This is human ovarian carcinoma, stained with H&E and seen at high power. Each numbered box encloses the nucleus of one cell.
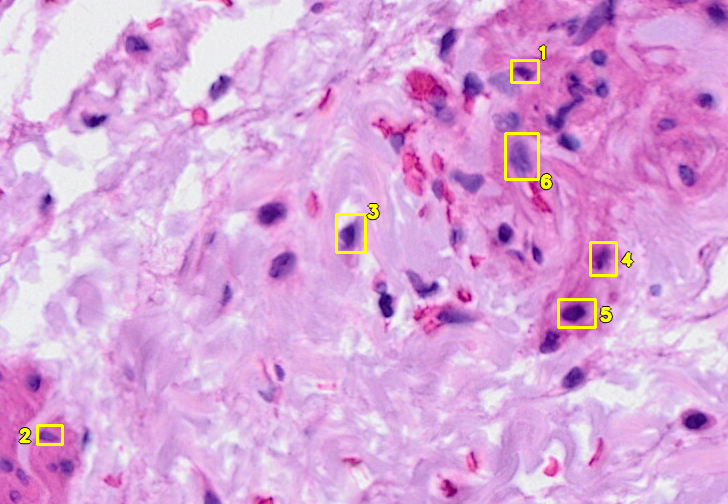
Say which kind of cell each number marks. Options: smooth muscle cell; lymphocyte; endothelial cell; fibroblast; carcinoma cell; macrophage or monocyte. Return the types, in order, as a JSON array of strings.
["smooth muscle cell", "smooth muscle cell", "fibroblast", "smooth muscle cell", "smooth muscle cell", "endothelial cell"]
